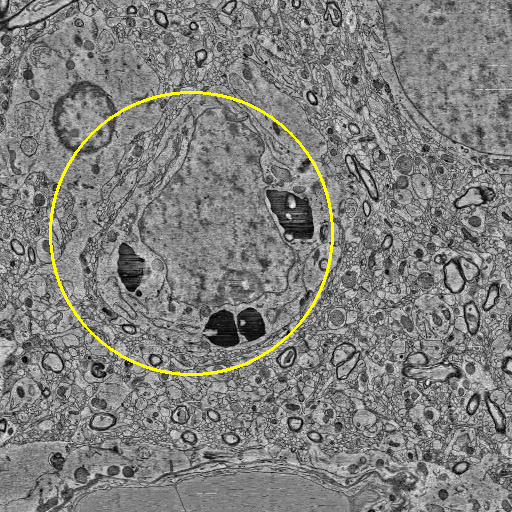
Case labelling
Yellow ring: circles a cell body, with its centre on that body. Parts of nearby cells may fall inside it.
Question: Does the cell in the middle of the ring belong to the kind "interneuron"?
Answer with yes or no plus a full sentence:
Yes, in this picture the cell in the middle of the yellow ring belongs to that kind.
